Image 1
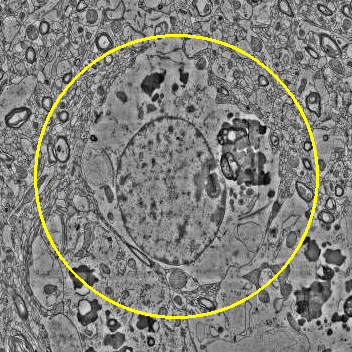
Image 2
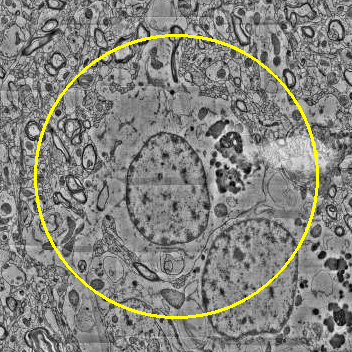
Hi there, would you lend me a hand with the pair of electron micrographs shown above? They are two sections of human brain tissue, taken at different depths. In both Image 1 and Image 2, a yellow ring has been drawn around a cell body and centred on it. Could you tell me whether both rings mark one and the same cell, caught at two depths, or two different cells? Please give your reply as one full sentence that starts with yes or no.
Yes, the two rings mark one cell and not separate cells.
